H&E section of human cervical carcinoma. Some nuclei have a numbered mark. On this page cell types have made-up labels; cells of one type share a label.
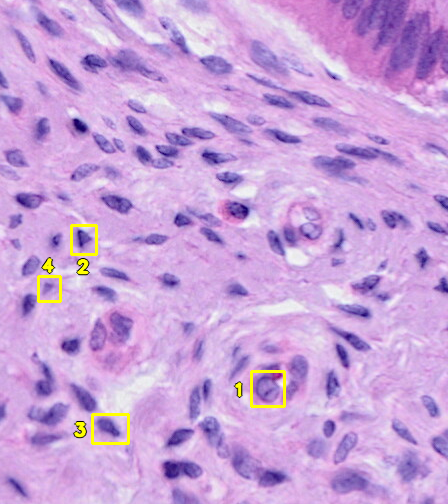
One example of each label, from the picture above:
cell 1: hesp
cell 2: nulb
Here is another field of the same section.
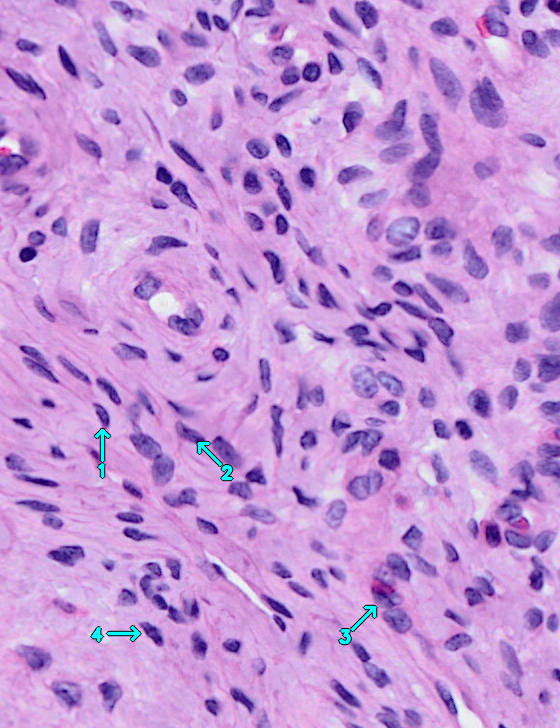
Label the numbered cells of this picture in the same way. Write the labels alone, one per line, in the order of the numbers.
nulb
nulb
hesp
nulb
